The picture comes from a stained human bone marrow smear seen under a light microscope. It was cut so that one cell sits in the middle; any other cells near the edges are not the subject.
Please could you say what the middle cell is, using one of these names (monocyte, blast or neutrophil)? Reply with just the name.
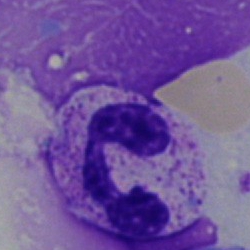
neutrophil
